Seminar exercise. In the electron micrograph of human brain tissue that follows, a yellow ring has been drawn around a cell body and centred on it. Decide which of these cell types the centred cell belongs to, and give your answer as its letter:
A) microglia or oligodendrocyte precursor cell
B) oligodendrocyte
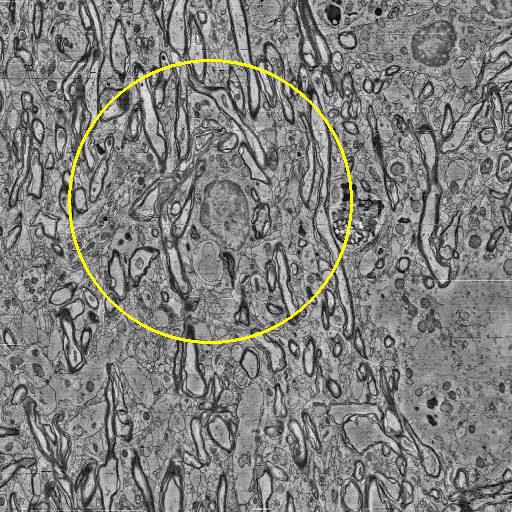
B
